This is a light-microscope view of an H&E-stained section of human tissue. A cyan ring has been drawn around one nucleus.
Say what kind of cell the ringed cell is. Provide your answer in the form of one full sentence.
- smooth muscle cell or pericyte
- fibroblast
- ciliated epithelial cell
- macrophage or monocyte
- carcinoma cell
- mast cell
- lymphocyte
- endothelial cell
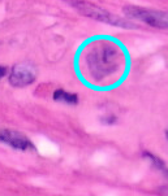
As to its cell type, the ringed cell is a fibroblast.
